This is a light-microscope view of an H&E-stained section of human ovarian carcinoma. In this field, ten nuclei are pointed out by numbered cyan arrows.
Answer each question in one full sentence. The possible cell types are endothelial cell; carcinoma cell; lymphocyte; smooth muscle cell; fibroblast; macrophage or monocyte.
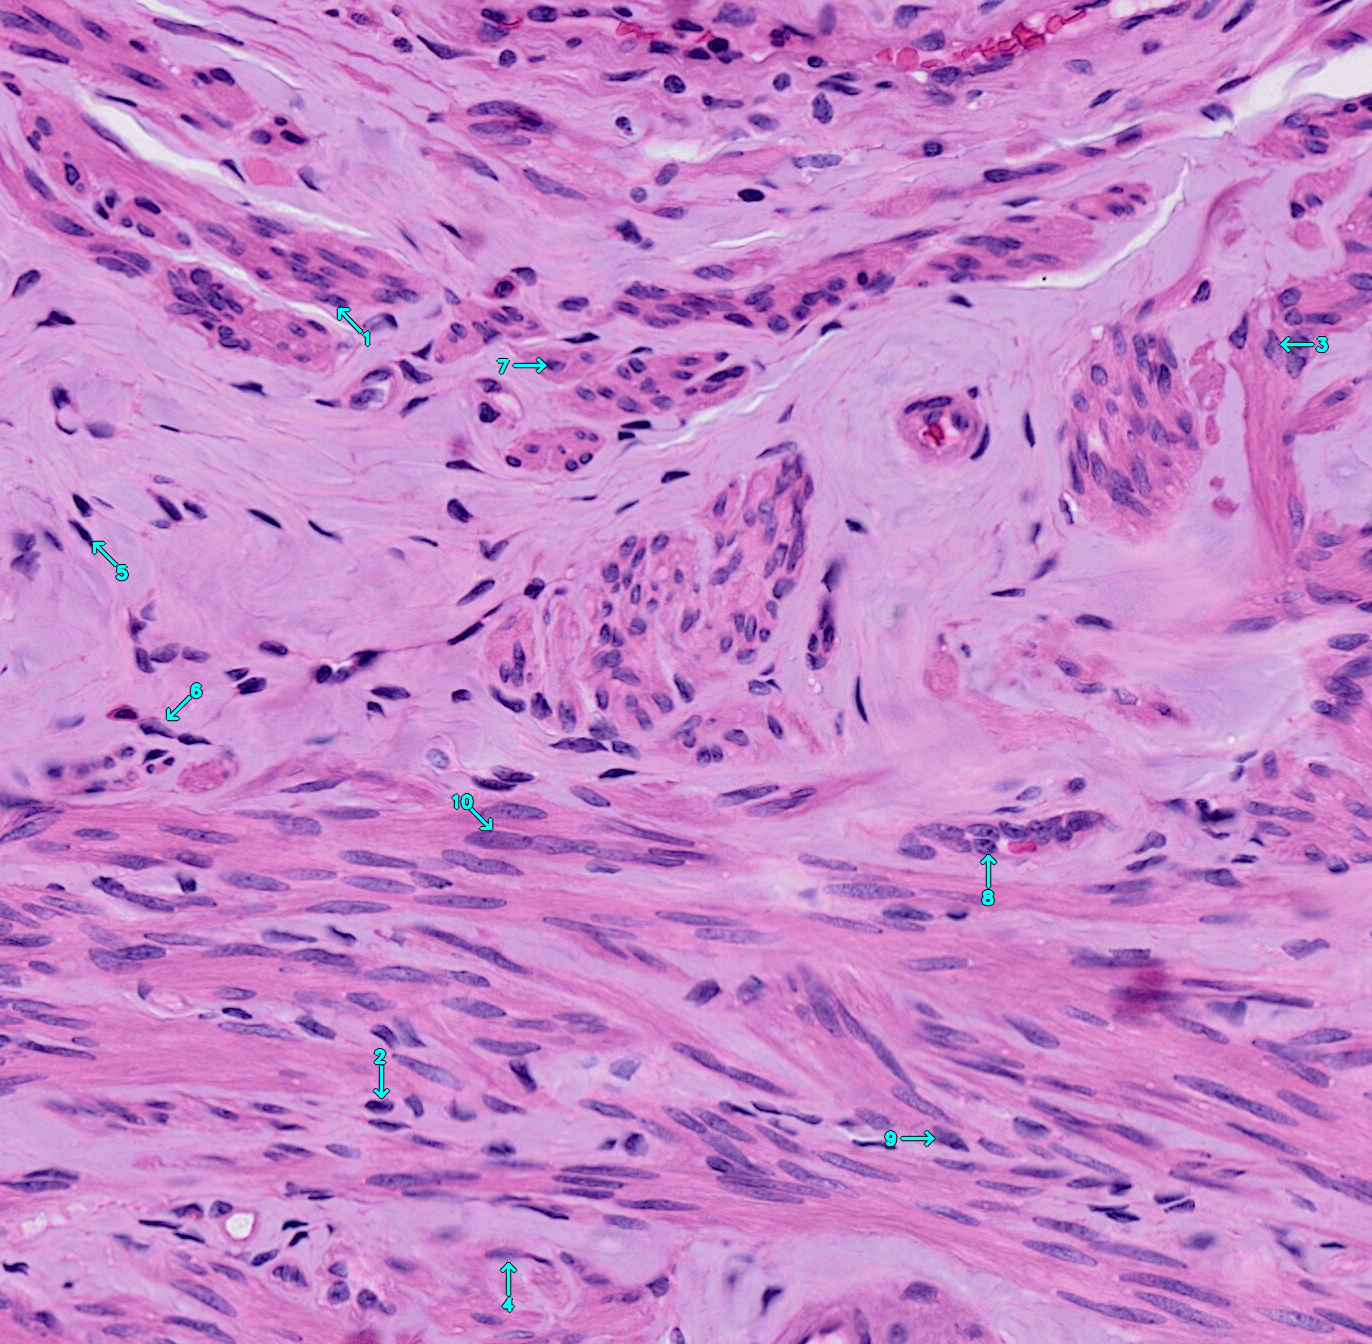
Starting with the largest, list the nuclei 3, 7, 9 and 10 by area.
Largest first, the order by area is 10, 9, 3, 7.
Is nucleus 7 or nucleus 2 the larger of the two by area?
Nucleus 2 covers more area, about 2 times as much as nucleus 7.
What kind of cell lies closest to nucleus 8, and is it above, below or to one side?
Lying above nucleus 8, the nearest nucleus is that of an endothelial cell.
